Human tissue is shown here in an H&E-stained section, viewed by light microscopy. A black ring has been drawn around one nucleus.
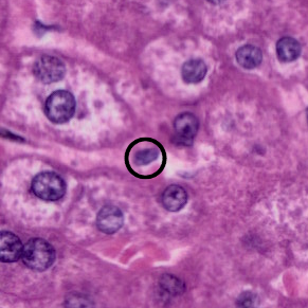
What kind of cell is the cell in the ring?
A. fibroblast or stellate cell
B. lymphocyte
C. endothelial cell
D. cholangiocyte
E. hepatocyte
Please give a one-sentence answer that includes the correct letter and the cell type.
Option B is correct; the cell in the ring is a lymphocyte.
